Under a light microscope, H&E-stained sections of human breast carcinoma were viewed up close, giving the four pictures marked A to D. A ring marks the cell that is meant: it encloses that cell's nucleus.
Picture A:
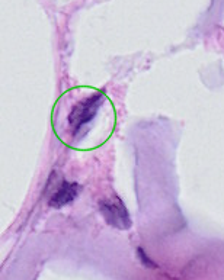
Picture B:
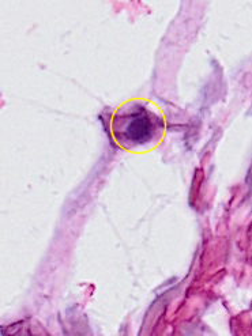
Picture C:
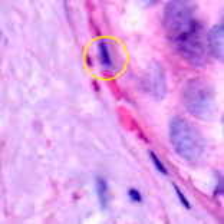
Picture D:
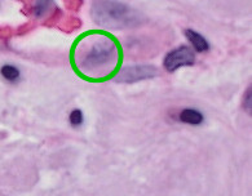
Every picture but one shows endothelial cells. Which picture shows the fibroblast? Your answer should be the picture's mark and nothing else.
A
